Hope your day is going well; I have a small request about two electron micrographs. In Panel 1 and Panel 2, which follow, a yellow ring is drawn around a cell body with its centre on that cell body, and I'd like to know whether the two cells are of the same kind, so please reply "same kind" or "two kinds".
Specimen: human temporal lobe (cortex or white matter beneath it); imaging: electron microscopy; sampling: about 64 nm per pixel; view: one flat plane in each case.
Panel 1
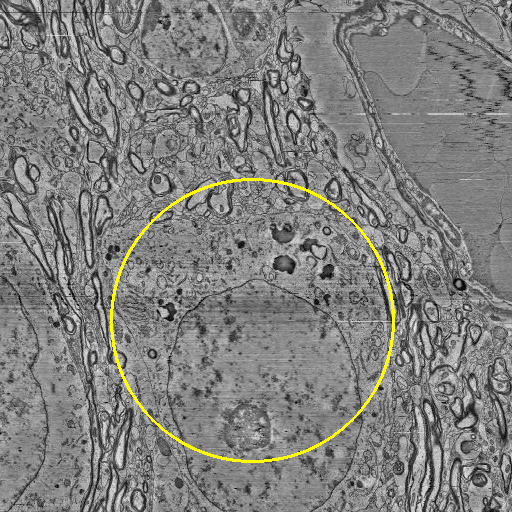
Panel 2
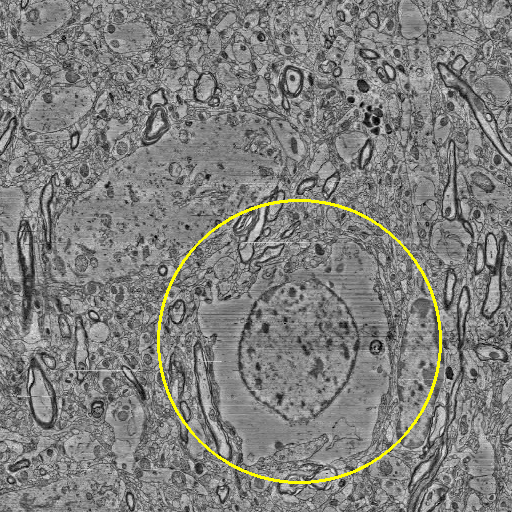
two kinds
